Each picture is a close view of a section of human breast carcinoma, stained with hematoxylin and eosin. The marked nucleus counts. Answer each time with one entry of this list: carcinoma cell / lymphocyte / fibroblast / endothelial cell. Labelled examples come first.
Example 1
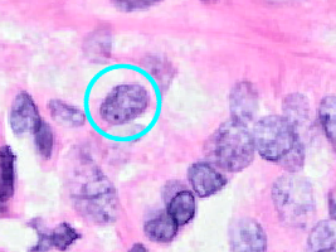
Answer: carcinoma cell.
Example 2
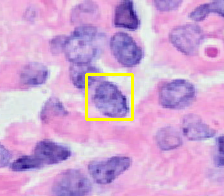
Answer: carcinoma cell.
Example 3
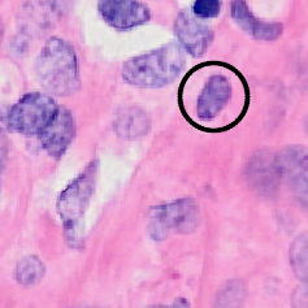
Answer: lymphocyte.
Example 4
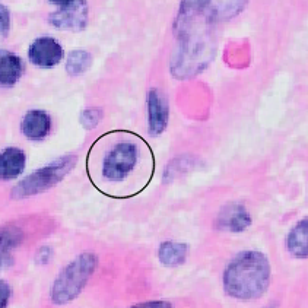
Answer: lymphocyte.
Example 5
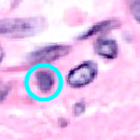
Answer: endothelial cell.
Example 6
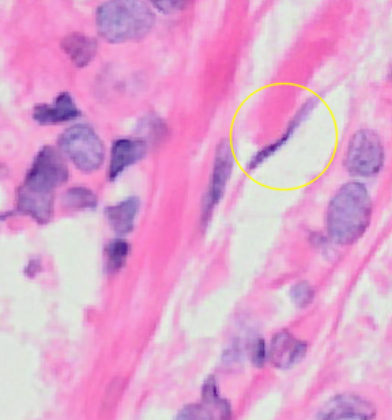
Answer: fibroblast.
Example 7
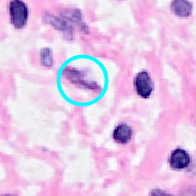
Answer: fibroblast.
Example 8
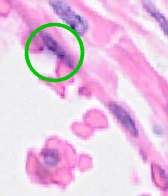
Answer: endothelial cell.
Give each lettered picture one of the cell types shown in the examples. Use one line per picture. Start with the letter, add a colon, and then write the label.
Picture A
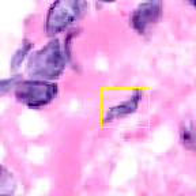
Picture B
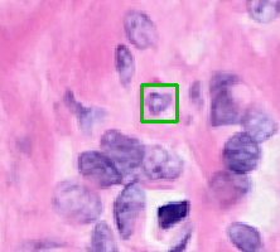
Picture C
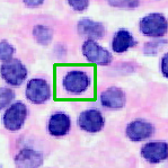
A: fibroblast.
B: endothelial cell.
C: lymphocyte.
